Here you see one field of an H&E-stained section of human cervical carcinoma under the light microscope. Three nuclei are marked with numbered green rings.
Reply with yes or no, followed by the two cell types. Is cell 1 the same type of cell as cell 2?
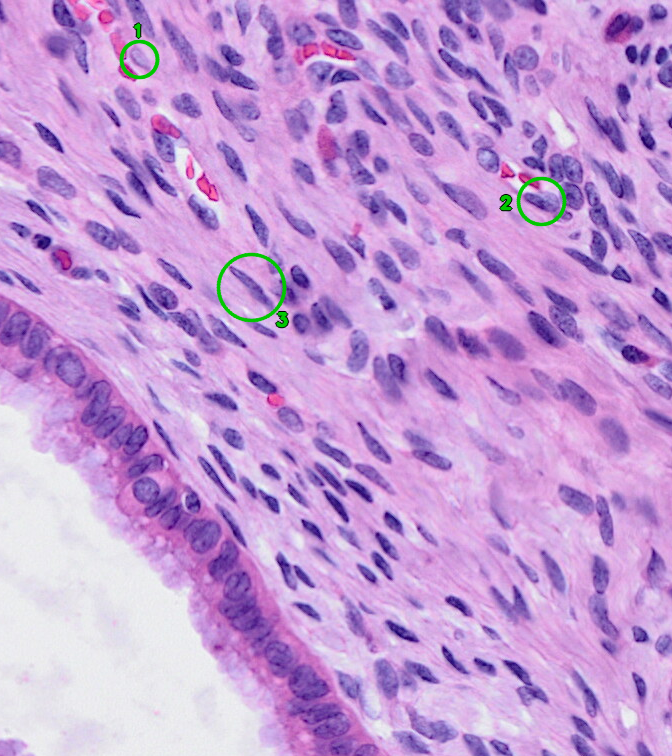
Yes, both are endothelial cells.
